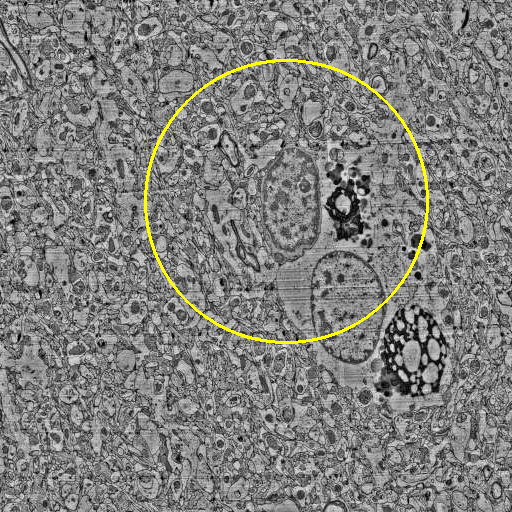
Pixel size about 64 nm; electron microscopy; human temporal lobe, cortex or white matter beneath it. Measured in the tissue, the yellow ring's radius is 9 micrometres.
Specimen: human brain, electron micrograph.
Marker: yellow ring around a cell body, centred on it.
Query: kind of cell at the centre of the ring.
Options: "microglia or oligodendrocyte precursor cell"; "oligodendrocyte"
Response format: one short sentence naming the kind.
This cell body belongs to an oligodendrocyte.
